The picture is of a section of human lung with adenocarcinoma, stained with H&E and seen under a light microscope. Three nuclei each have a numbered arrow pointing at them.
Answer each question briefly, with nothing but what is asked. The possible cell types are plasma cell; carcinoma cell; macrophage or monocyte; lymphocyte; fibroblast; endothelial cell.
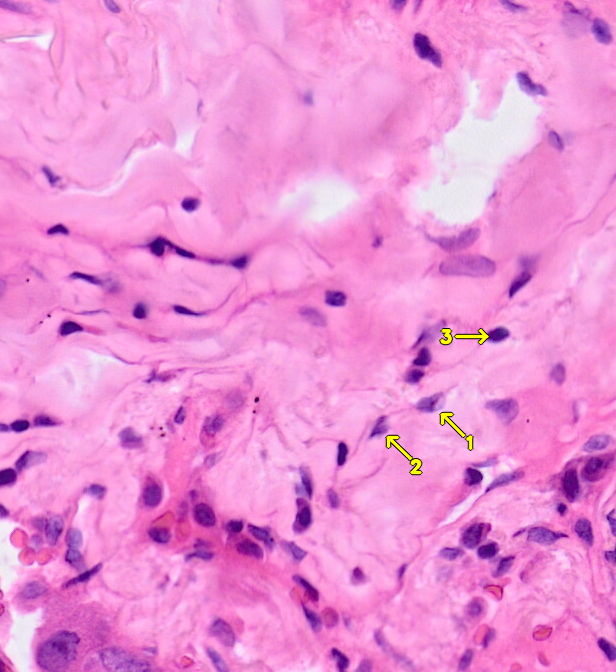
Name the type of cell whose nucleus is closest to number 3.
fibroblast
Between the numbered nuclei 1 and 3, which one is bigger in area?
1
